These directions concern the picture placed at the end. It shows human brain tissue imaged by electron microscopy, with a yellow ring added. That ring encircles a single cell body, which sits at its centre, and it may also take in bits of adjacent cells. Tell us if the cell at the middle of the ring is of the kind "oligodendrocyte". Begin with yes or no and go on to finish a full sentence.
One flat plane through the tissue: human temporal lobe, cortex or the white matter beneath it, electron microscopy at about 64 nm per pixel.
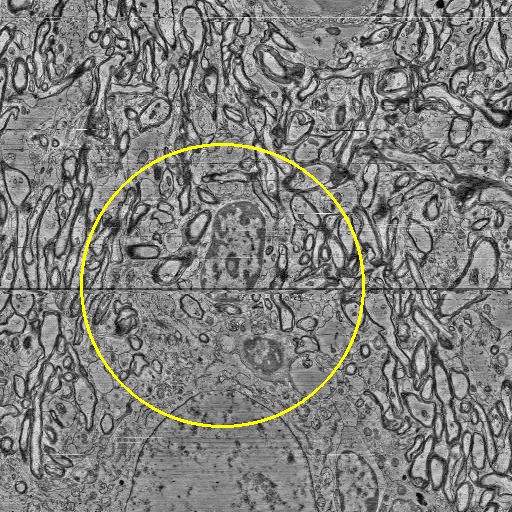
No, the cell sitting at the centre of the yellow ring in the picture belongs to another kind.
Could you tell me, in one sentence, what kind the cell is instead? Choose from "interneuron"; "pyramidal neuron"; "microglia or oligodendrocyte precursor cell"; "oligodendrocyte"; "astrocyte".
The cell enclosed by the ring is a microglial cell or oligodendrocyte precursor cell.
